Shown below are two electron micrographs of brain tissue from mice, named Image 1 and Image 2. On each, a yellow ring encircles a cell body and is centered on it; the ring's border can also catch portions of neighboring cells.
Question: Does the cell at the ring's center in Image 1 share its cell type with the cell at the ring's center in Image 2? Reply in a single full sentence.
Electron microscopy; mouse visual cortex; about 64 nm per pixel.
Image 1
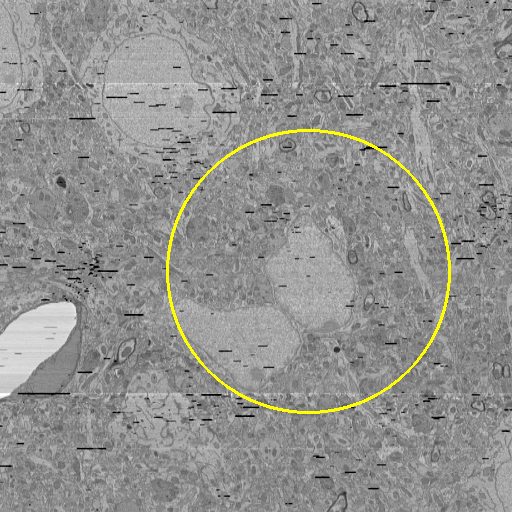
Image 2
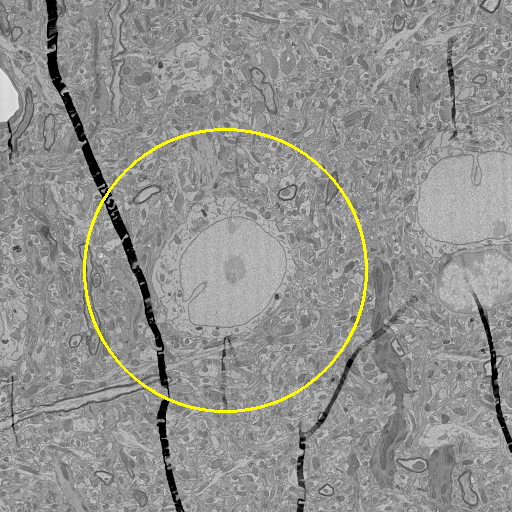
No, the two cells at the ring centers, in Image 1 and Image 2, are of two cell types.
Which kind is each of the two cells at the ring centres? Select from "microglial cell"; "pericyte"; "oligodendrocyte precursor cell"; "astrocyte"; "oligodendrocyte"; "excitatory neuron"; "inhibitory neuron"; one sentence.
The cell at the centre of the ring is an astrocyte in the first picture and an excitatory neuron in the second.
